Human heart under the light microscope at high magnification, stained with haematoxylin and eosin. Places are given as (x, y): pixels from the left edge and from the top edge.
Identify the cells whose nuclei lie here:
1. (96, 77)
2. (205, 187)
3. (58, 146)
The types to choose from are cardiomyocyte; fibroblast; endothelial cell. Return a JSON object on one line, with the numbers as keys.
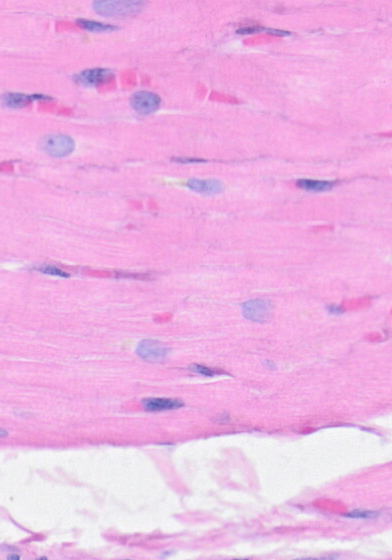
{"1": "endothelial cell", "2": "cardiomyocyte", "3": "cardiomyocyte"}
